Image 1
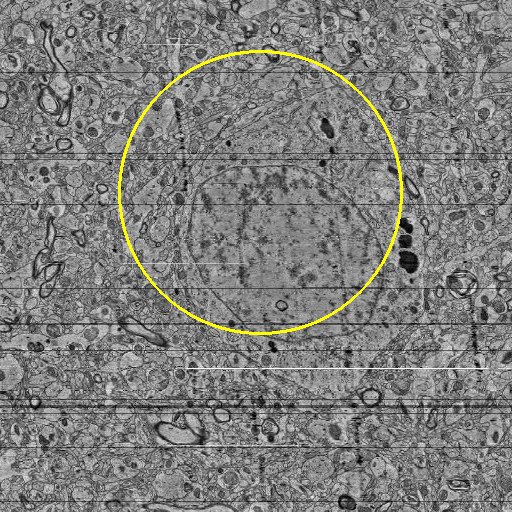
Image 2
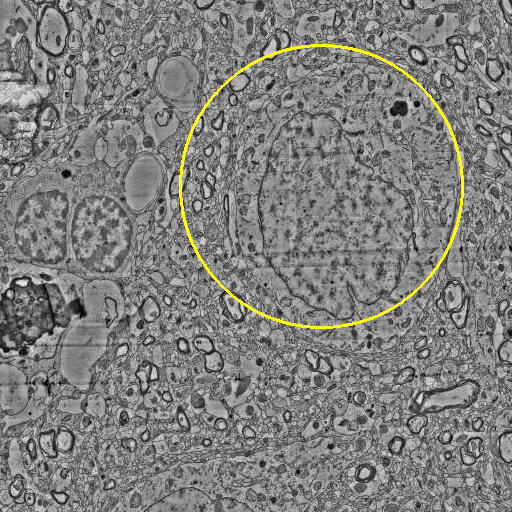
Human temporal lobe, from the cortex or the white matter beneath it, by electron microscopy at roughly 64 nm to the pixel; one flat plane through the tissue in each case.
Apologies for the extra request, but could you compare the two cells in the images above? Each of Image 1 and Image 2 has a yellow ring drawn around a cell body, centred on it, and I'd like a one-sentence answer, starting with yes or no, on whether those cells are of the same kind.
Yes, both cells are of the same kind.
